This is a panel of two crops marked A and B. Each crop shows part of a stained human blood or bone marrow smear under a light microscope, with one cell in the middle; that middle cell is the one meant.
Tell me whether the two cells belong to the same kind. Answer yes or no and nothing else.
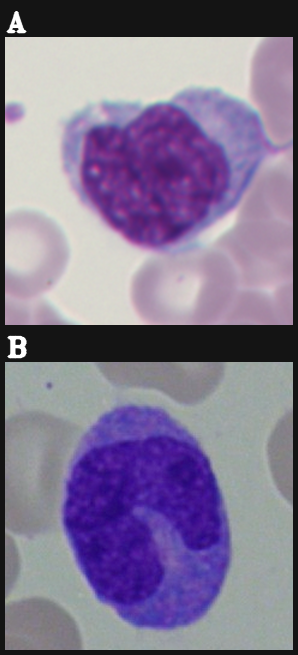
yes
